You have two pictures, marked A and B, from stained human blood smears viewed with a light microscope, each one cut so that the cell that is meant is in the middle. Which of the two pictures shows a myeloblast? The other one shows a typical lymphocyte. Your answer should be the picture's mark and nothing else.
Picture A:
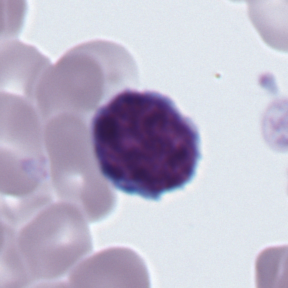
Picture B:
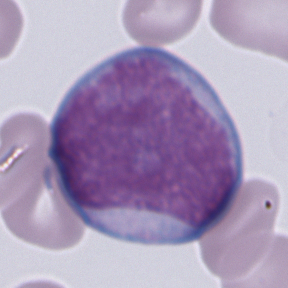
B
